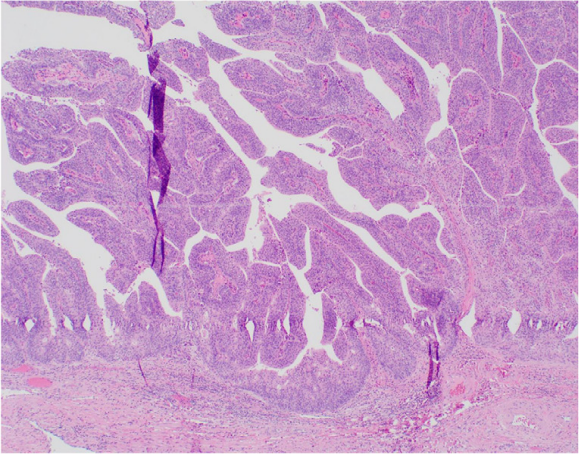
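Papillary tumour of neoplastic urothelium, made of many branching and partly fused fronds with thin pink fibrovascular cores. The fronds are covered by a thick, uniform purple epithelium and are separated by clear spaces. A dark purple fold artefact crosses the upper left part.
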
